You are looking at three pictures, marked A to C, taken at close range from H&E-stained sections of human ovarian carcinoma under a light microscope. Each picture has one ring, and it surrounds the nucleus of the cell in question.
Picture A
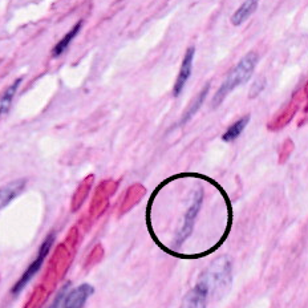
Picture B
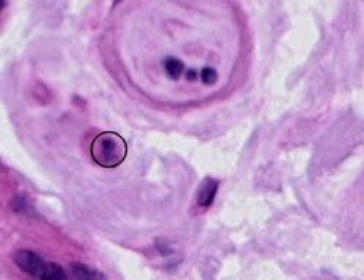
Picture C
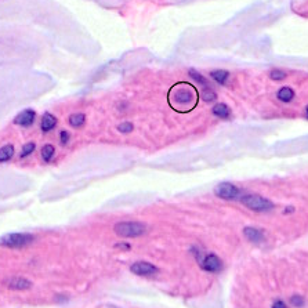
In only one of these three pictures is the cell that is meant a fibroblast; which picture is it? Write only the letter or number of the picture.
A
